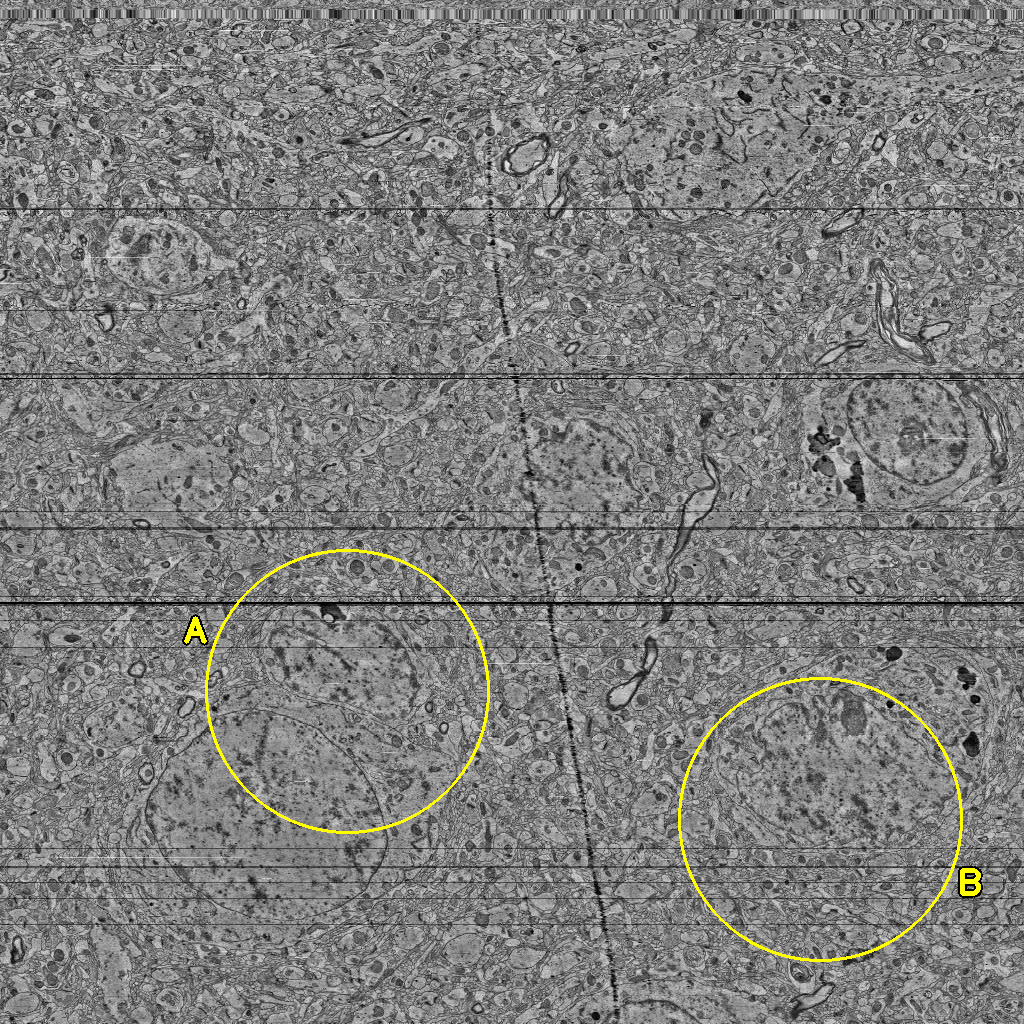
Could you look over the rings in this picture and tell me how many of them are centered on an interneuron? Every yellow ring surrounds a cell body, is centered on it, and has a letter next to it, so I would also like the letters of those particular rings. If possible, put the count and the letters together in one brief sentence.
The micrograph contains two rings each centred on an interneuron, lettered A and B.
